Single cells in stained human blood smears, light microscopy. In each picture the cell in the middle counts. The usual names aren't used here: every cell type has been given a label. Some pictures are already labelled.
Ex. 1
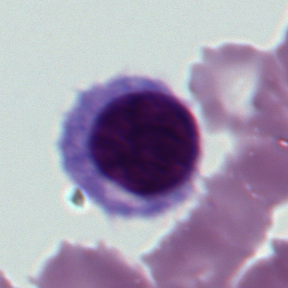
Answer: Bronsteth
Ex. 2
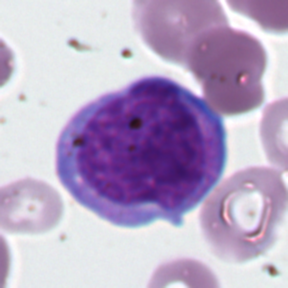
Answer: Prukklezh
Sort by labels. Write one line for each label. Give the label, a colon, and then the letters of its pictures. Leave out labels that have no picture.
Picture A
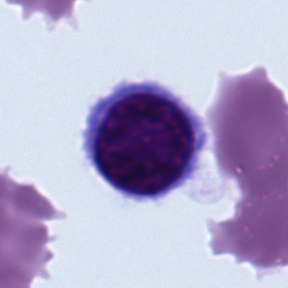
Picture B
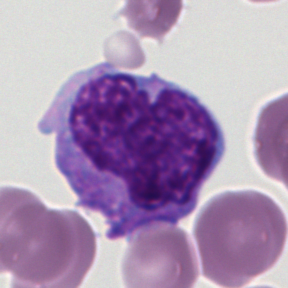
Bronsteth: A
Prukklezh: B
